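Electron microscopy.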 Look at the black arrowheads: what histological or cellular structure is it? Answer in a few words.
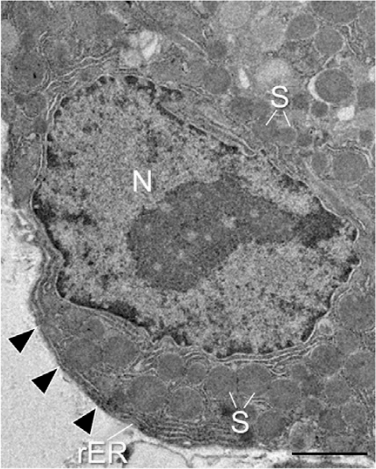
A: basal membrane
